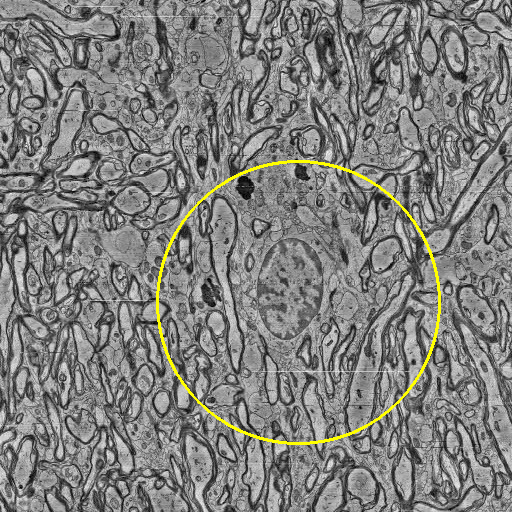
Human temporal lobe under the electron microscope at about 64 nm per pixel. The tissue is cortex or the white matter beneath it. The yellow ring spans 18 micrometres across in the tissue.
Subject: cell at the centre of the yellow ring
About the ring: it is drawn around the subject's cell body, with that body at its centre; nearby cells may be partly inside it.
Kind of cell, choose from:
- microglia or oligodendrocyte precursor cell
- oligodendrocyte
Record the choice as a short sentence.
The subject cell is a microglial cell or oligodendrocyte precursor cell.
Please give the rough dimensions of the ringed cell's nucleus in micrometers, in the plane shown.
The ringed cell's nucleus is roughly 7 by 4 micrometres and clearly longer than it is wide in this plane.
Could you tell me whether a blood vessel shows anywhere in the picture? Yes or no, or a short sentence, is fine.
No, there is none.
